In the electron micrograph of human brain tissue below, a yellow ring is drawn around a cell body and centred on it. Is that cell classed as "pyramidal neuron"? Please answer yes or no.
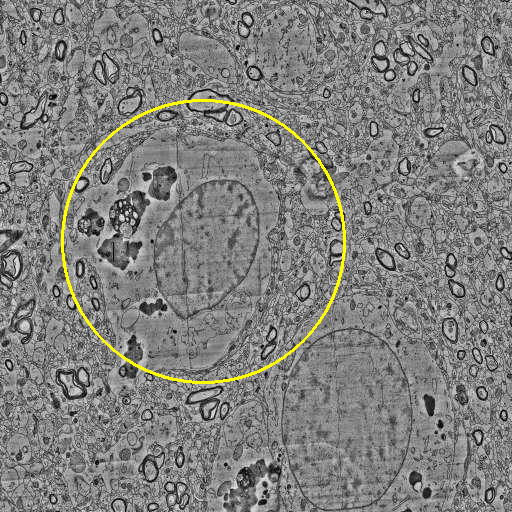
no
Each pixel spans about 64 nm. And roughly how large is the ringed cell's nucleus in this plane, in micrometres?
Roughly 9 by 6 micrometres; in this plane, clearly longer than it is wide.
